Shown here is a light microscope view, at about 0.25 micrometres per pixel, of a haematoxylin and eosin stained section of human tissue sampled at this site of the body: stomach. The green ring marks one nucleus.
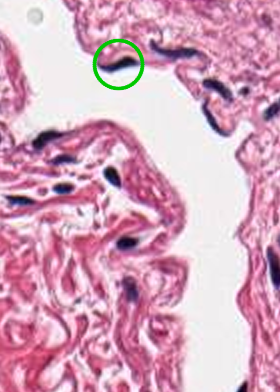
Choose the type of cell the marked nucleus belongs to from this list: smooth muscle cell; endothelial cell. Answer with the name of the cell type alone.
endothelial cell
